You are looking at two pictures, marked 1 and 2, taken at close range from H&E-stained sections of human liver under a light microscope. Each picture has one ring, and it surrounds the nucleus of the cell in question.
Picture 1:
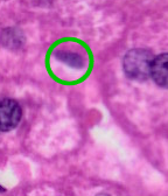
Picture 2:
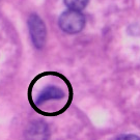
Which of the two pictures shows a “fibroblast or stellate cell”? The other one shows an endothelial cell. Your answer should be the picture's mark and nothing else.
2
